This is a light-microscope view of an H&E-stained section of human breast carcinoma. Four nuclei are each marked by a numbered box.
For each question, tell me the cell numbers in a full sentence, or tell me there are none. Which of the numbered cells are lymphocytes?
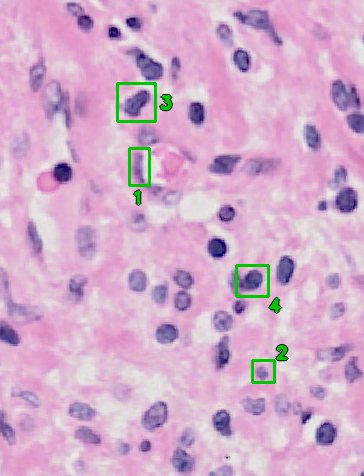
The cells to which the numbers 2, 3 and 4 refer are lymphocytes.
